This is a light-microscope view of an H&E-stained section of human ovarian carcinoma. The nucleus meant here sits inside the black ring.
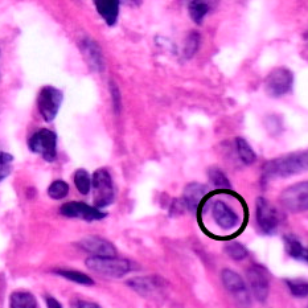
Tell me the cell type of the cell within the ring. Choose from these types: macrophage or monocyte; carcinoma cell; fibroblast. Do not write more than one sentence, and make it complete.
In terms of identity, the cell within the ring is a macrophage or monocyte.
